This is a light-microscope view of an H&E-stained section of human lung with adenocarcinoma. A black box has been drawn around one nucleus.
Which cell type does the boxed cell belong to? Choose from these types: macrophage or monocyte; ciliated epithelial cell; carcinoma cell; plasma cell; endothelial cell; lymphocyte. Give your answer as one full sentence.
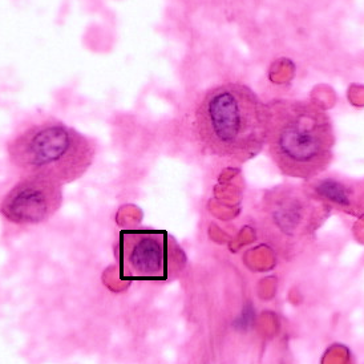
As to its cell type, the boxed cell is a macrophage or monocyte.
